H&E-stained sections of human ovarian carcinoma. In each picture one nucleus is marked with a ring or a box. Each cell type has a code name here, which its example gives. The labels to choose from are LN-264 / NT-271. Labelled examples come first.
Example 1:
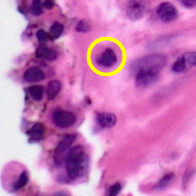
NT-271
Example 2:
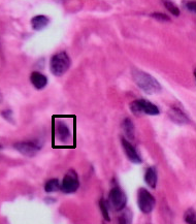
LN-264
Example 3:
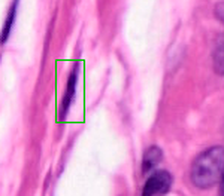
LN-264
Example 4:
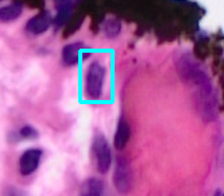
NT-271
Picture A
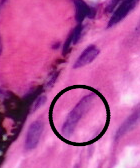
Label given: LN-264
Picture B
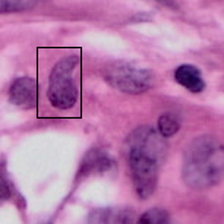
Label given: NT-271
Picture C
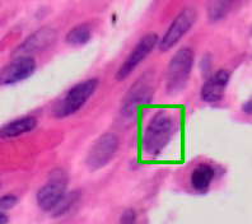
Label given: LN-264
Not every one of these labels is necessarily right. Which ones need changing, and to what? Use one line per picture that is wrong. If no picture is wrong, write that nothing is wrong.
C: not LN-264 but NT-271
